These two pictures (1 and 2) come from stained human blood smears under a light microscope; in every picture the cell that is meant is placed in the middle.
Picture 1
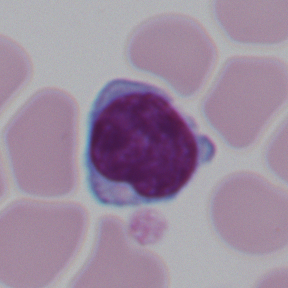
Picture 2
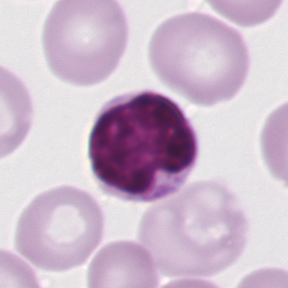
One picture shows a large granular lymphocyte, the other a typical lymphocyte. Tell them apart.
1: typical lymphocyte
2: large granular lymphocyte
